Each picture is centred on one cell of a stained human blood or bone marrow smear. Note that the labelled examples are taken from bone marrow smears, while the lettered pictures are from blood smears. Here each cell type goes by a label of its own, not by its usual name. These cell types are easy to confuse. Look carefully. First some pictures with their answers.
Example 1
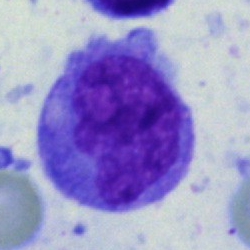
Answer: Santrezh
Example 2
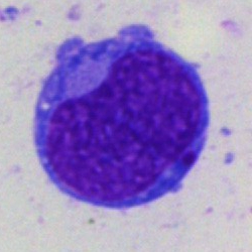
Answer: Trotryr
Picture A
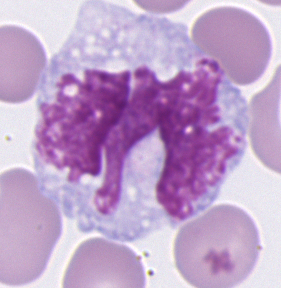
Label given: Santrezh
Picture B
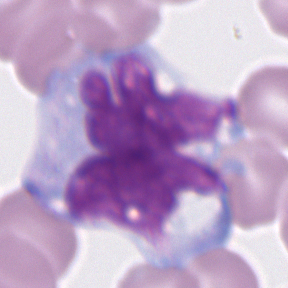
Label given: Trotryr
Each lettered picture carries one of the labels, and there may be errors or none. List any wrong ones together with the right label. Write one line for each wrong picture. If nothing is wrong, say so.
Wrong: B (Trotryr); correct: Santrezh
